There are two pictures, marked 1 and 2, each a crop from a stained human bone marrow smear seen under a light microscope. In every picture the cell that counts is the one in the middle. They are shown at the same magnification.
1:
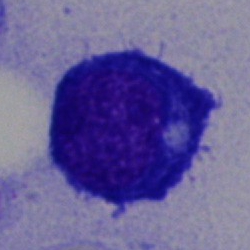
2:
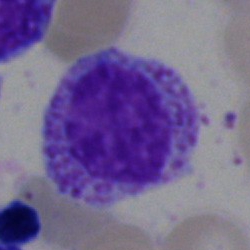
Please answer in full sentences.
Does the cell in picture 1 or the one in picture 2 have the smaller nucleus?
Smaller is the nucleus in picture 2, and the other is about 1.5 times as large in area.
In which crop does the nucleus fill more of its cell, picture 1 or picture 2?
The nucleus fills more of the cell in picture 1 than in picture 2.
